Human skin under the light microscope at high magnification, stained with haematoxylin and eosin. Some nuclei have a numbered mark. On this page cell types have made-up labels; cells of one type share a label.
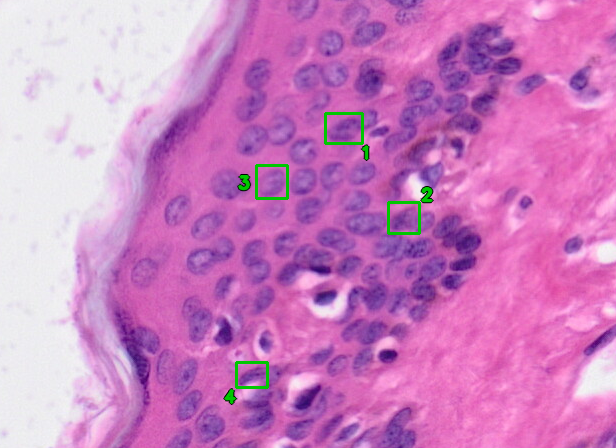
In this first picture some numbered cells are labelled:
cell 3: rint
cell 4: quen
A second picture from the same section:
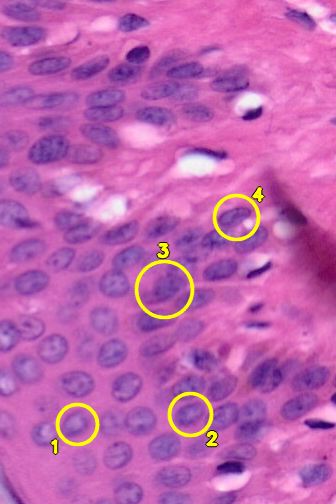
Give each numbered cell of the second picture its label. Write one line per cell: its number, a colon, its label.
1: rint
2: rint
3: quen
4: quen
